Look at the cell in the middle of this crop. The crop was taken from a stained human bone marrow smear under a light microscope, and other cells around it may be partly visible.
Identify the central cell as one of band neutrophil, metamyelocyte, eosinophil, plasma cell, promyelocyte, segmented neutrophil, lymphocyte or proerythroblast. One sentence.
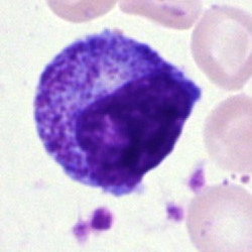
In the crop, the cell of interest at the centre is a promyelocyte.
